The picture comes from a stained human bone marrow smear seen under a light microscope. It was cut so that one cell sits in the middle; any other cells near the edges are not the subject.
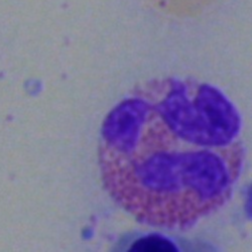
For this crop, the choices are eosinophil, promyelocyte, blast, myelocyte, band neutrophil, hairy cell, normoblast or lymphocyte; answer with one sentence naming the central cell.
Among the cells in view, the one in the middle is an eosinophil.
